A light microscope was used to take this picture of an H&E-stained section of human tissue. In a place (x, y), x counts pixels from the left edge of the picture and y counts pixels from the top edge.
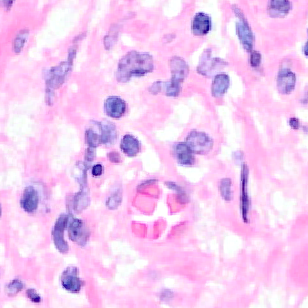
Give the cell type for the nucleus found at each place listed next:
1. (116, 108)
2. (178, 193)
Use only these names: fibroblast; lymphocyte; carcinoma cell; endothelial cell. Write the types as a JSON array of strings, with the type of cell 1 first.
["lymphocyte", "endothelial cell"]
